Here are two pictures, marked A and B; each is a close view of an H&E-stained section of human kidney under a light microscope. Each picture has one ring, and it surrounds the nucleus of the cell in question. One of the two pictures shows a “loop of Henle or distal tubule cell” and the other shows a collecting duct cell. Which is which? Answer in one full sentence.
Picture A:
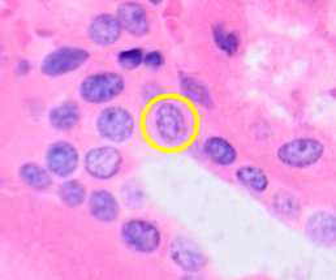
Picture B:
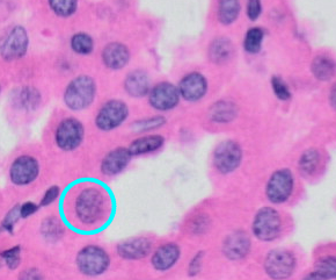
Picture B shows a “loop of Henle or distal tubule cell”, while picture A shows a collecting duct cell.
